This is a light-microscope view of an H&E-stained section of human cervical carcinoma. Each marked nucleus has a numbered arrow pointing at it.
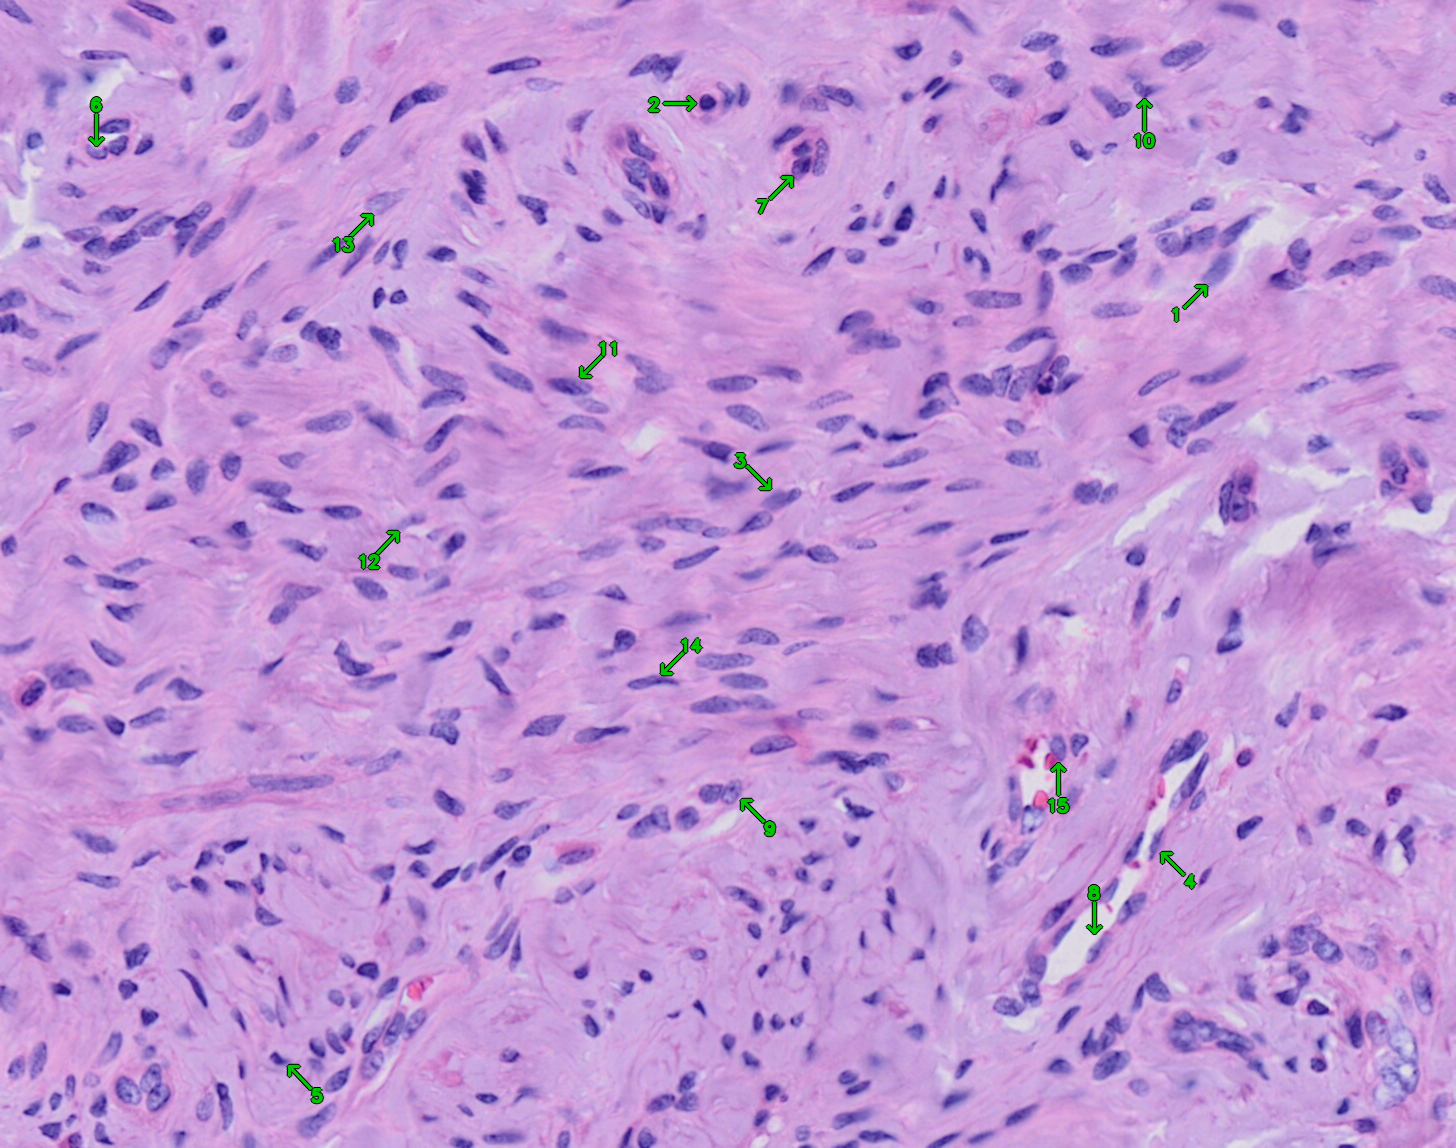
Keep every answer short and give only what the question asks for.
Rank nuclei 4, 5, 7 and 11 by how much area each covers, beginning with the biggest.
11, 7, 4, 5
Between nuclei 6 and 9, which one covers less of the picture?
6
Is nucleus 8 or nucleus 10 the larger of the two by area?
10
